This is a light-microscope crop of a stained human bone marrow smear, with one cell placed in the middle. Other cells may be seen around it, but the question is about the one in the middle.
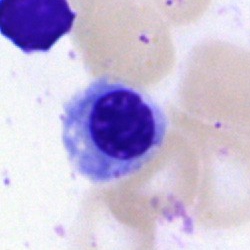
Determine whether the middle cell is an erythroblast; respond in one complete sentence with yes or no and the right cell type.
Yes, the cell that the crop is centred on is an erythroblast.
